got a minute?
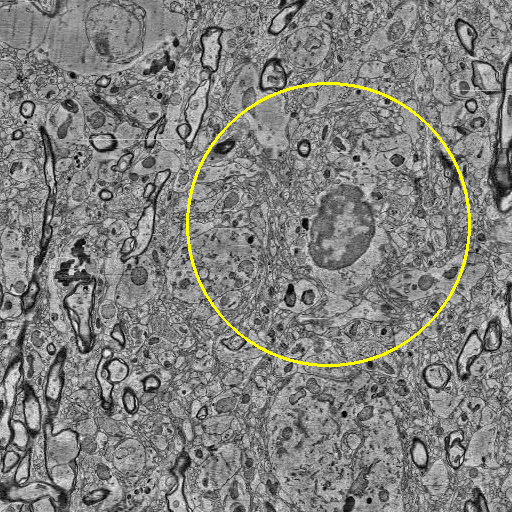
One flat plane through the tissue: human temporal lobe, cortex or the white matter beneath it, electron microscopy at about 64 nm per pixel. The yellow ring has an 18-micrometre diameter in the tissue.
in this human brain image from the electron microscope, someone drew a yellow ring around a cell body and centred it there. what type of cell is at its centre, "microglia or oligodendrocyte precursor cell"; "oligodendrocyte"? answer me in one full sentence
It's a microglial cell or oligodendrocyte precursor cell at the middle of that yellow ring in the shot.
